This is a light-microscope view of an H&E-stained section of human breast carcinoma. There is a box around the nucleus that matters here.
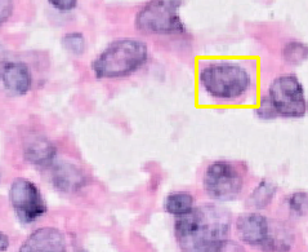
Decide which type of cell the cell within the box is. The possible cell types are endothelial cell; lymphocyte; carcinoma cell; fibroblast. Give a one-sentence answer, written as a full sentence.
For the purposes of cell typing, the cell within the box is categorized as a carcinoma cell.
